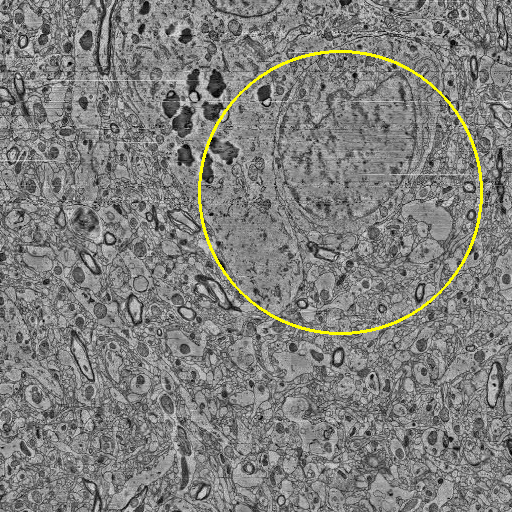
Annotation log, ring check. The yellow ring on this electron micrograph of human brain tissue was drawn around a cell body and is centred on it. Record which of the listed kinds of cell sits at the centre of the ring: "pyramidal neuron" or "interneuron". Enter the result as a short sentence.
The cell at the centre of the ring is an interneuron.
